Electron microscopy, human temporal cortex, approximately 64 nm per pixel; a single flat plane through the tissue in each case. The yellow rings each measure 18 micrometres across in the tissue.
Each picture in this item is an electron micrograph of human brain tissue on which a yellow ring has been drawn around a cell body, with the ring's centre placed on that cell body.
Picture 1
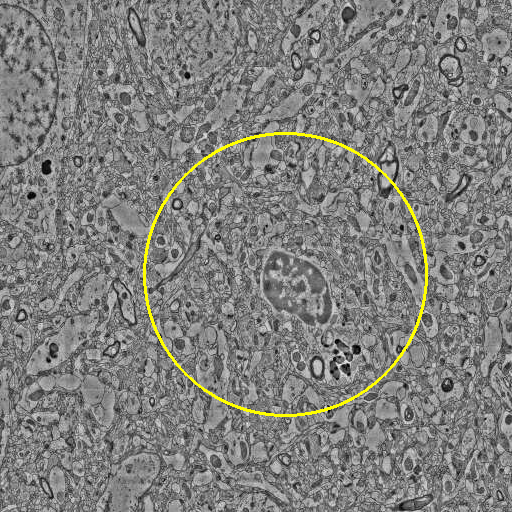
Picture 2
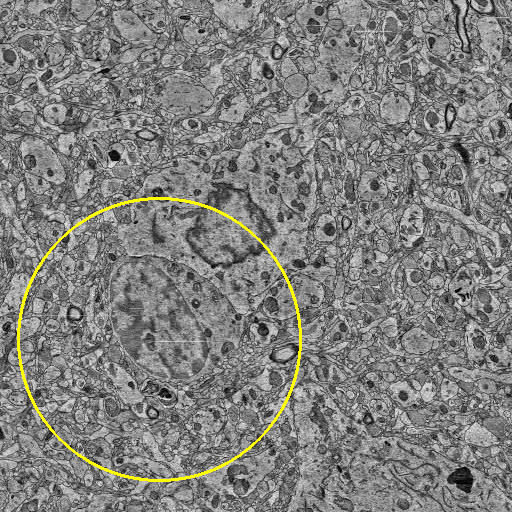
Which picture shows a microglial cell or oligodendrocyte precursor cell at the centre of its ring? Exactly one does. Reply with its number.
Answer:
1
